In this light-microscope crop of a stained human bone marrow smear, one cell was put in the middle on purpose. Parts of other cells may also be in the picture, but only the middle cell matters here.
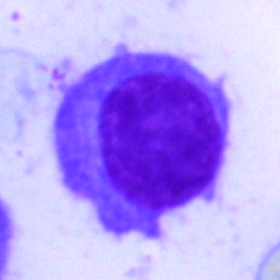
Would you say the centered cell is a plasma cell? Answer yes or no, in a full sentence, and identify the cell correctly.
Yes, the cell at the centre is designated a plasma cell.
